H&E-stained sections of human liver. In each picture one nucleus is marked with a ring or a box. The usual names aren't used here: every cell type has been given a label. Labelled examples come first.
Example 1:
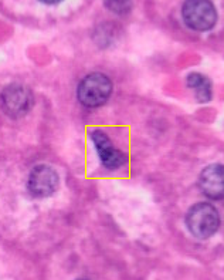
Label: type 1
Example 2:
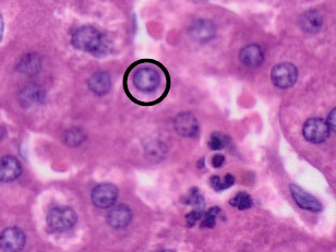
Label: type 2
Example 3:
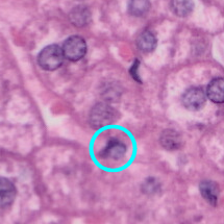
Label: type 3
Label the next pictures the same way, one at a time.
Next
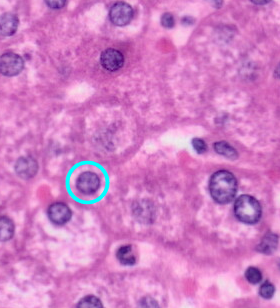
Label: type 2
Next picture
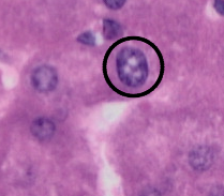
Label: type 2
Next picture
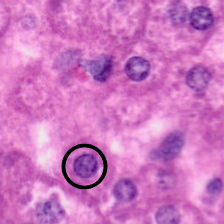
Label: type 2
